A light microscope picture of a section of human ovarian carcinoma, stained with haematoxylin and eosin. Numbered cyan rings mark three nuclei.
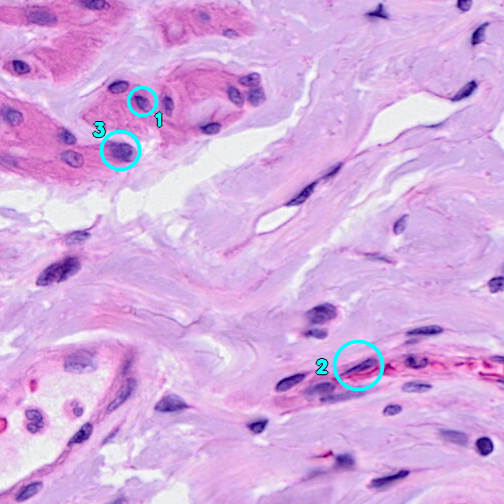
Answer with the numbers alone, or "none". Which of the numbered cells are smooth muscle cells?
1, 3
